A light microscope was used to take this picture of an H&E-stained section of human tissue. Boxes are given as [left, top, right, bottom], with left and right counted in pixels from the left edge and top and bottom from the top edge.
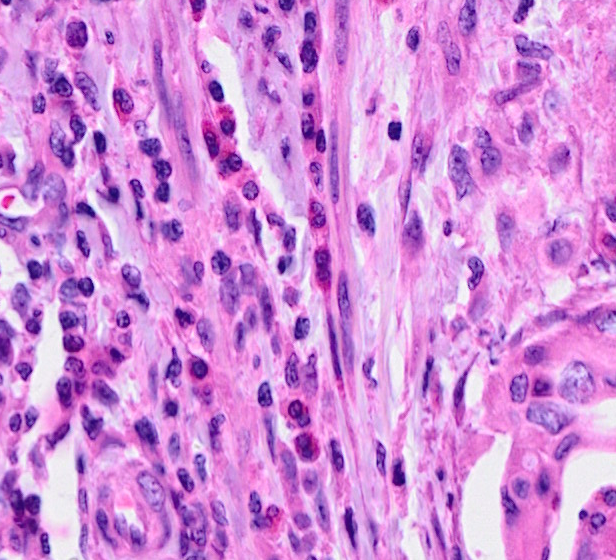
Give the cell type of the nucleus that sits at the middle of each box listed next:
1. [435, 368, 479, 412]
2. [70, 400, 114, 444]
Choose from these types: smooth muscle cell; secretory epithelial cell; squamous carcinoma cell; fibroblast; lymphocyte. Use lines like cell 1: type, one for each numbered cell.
cell 1: fibroblast
cell 2: lymphocyte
